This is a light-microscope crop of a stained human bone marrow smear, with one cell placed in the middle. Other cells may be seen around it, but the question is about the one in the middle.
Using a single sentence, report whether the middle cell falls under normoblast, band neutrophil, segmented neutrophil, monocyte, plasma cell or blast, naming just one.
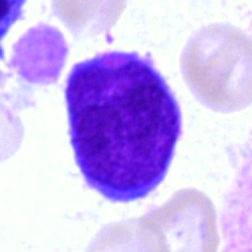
In the central position of this crop, the cell is a blast.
